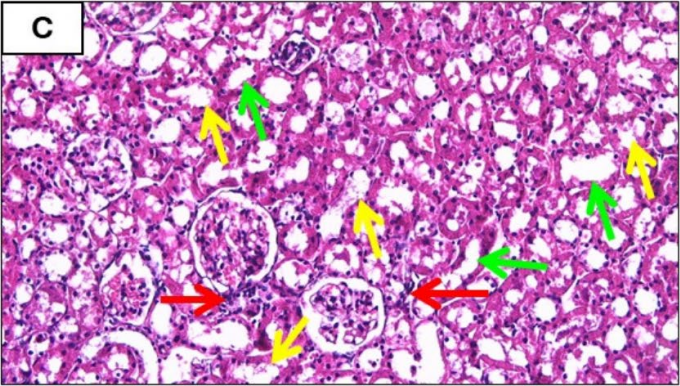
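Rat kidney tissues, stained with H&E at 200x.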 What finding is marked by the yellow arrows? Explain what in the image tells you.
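Tubular epithelial cells at the arrows contain clear, empty-looking vacuoles. Some epithelial cells appear pale and frayed. So: vacuolar degeneration and necrotic tubular epithelial cells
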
